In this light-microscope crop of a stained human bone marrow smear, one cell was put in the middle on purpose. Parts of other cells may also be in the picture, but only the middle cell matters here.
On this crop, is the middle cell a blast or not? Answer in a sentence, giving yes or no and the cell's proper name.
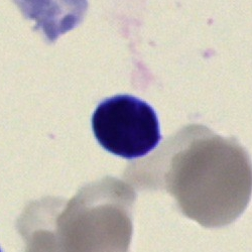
No, the middle cell is classified as a lymphocyte instead of a blast.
